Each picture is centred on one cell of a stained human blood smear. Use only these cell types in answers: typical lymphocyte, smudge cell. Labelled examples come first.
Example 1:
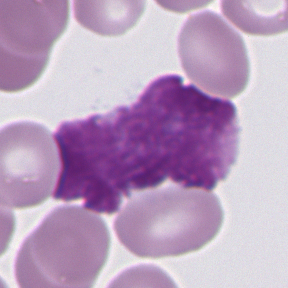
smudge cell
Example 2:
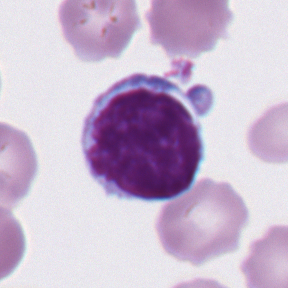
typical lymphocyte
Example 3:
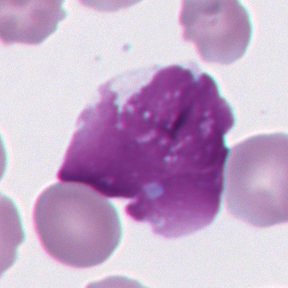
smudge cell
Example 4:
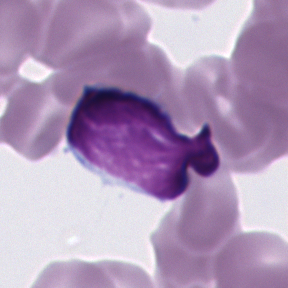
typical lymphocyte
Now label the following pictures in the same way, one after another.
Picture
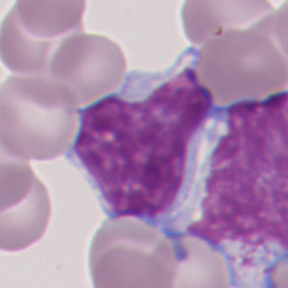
typical lymphocyte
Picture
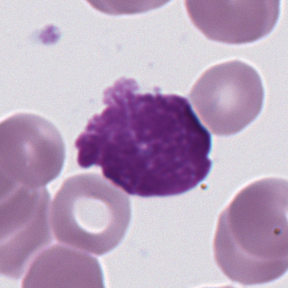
smudge cell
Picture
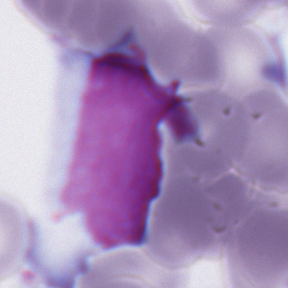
typical lymphocyte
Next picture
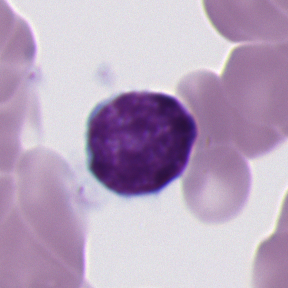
typical lymphocyte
